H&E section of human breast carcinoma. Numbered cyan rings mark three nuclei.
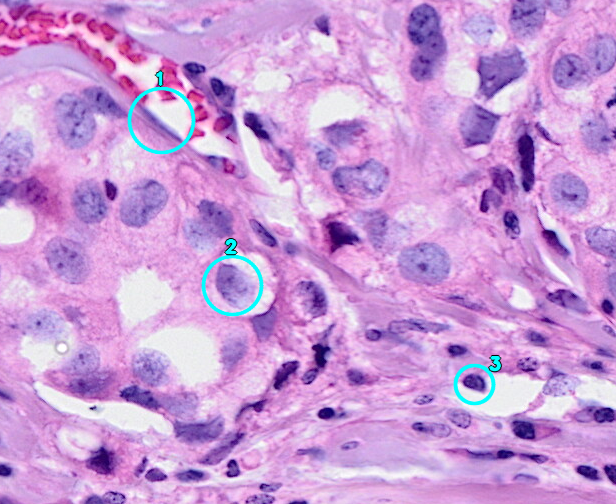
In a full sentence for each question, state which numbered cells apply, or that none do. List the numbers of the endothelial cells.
Unlike the other numbered cells, cell 1 is an endothelial cell.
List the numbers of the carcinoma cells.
Of those with numbers, only cell 2 is a carcinoma cell.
